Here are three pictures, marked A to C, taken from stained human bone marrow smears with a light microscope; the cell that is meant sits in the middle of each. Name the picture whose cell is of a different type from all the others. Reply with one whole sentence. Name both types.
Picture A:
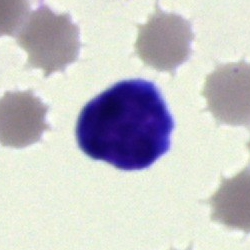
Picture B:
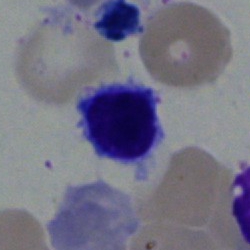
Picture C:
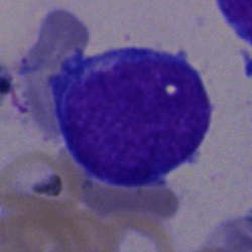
Unlike the rest, which show lymphocytes, picture C shows a blast.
